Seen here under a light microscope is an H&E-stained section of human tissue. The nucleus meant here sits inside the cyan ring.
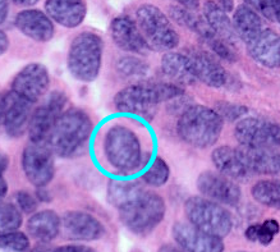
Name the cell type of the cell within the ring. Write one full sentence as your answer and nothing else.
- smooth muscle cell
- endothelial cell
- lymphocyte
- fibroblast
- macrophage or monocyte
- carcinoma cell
Recorded by type, the cell within the ring is a carcinoma cell.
